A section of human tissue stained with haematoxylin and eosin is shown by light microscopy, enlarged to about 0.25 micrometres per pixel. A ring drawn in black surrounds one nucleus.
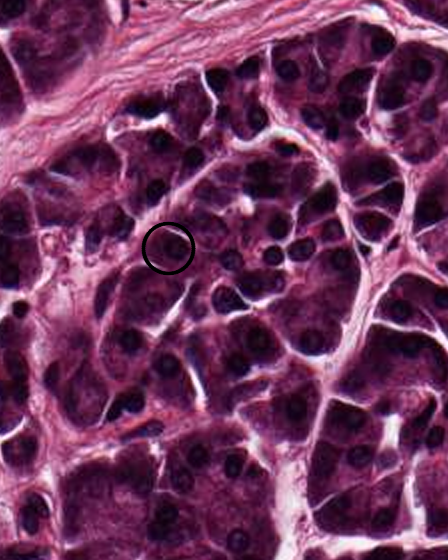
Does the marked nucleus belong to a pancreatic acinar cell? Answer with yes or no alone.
yes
